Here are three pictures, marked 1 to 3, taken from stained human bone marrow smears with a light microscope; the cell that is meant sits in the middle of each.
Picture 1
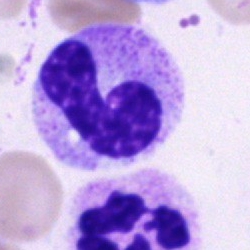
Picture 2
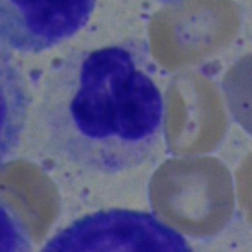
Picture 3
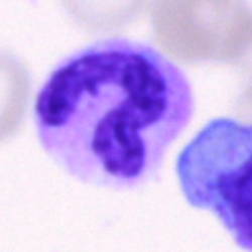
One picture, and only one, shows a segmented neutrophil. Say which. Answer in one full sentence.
The cell in picture 2 is the segmented neutrophil.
